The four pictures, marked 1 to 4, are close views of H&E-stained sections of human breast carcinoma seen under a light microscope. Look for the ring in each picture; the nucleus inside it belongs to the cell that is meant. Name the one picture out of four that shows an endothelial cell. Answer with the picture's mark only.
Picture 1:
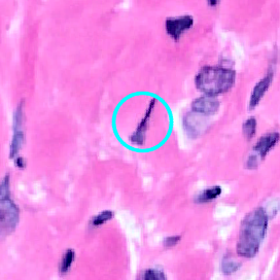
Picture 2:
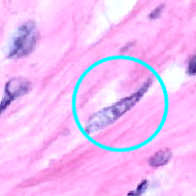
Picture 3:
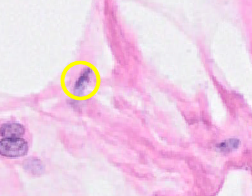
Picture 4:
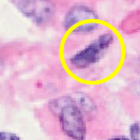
4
